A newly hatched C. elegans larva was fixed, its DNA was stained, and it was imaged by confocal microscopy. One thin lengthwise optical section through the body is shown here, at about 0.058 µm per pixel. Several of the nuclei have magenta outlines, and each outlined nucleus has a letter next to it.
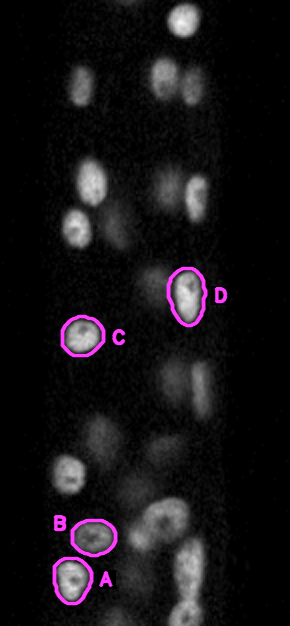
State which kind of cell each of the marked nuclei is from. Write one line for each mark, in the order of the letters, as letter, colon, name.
A: body wall muscle cell
B: intestinal cell
C: body wall muscle cell
D: body wall muscle cell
